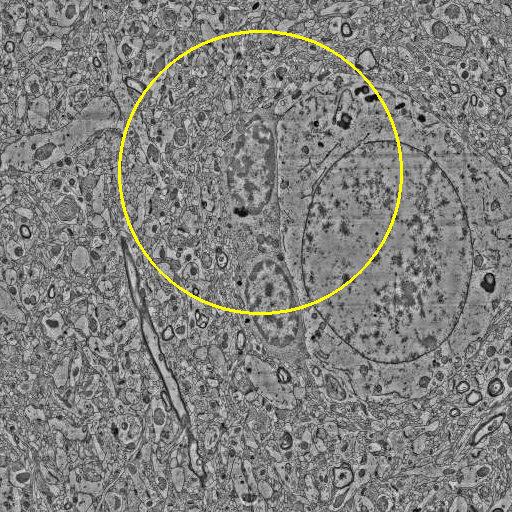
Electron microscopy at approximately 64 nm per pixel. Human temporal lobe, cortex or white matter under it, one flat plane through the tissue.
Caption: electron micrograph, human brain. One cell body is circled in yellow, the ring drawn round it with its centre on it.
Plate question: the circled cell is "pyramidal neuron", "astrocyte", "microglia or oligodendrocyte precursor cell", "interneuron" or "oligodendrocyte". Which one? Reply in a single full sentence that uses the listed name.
The yellow ring on the plate is centred on an oligodendrocyte, going by the listed names.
